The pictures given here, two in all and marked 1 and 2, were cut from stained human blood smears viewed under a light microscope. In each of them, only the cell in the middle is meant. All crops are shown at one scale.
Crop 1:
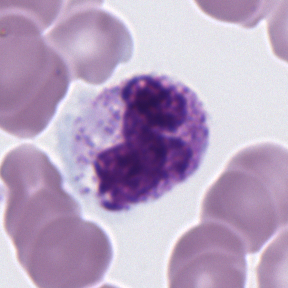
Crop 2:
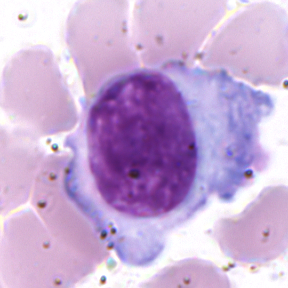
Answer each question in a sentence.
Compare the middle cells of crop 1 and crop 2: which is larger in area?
The cell in crop 2 is larger, with about 2 times the area of the one in crop 1.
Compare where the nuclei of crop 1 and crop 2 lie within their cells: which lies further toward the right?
The nucleus in crop 1 lies further toward the right of its cell.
